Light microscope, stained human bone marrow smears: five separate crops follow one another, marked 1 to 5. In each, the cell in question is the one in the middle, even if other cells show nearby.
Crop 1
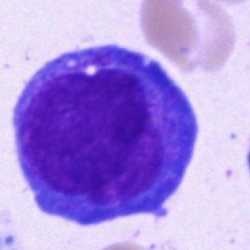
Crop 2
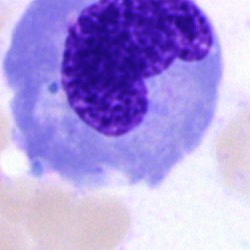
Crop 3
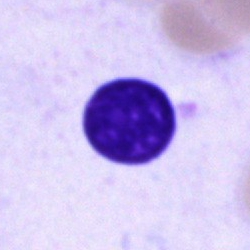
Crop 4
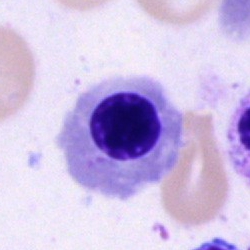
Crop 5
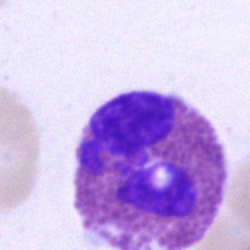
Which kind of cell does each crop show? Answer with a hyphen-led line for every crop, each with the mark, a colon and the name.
- 1: blast
- 2: erythroblast
- 3: lymphocyte
- 4: erythroblast
- 5: eosinophil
